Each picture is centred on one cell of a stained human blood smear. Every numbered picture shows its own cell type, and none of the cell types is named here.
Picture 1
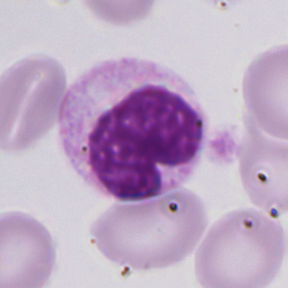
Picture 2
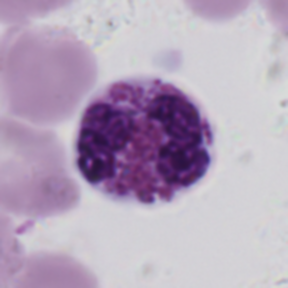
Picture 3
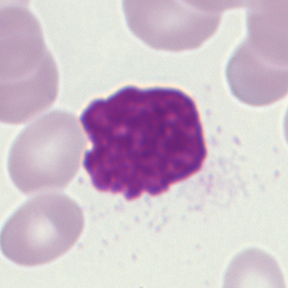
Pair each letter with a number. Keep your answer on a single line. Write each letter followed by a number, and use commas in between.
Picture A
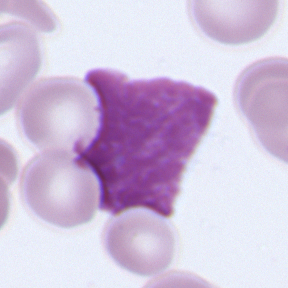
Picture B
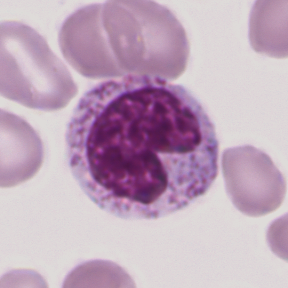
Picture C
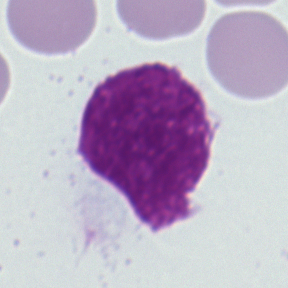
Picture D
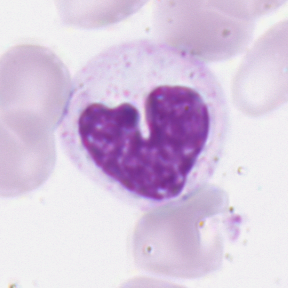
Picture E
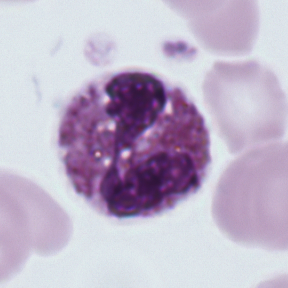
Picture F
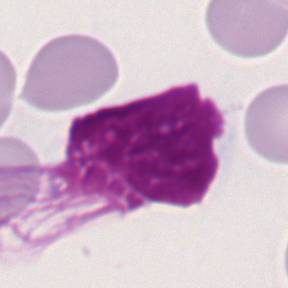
A 3, B 1, C 3, D 1, E 2, F 3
